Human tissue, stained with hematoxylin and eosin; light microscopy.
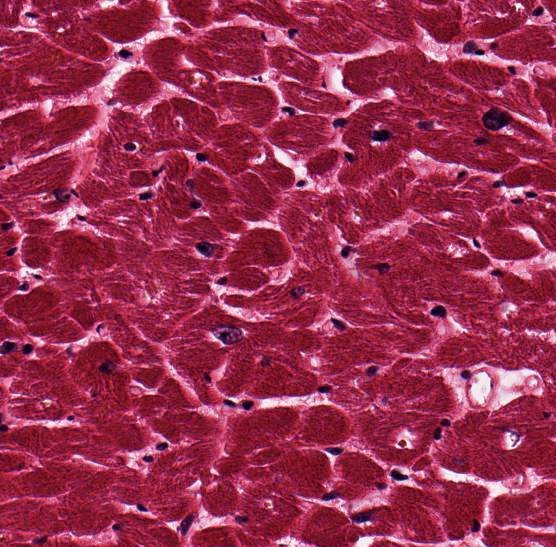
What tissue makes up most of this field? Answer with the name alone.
myocardium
